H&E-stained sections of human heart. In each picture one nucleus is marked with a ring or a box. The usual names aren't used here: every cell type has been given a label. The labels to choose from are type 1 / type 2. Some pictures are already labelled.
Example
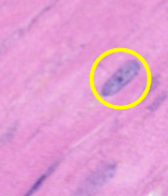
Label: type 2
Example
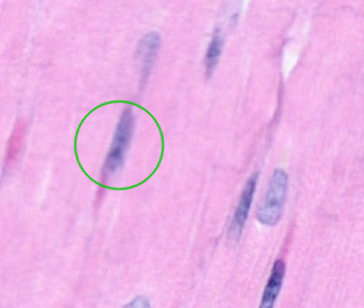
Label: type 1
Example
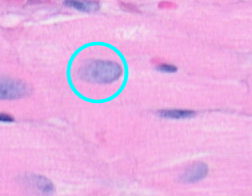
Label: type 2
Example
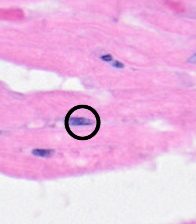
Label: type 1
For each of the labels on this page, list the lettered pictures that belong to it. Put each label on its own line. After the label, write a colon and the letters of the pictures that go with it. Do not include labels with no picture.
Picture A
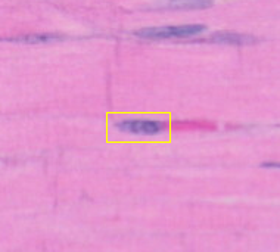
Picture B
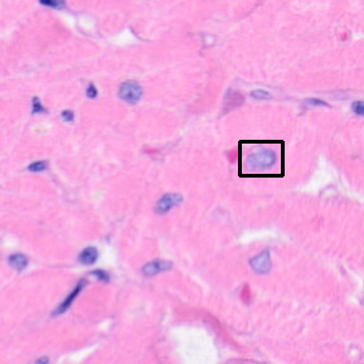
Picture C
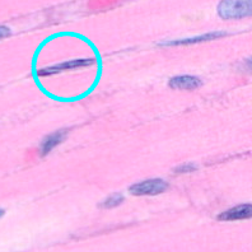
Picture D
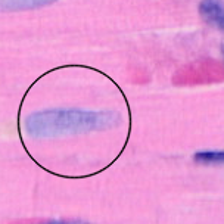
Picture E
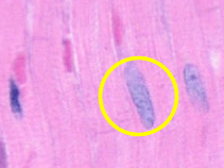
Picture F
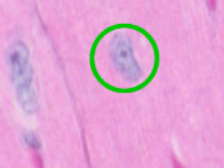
type 1: A, C
type 2: B, D, E, F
